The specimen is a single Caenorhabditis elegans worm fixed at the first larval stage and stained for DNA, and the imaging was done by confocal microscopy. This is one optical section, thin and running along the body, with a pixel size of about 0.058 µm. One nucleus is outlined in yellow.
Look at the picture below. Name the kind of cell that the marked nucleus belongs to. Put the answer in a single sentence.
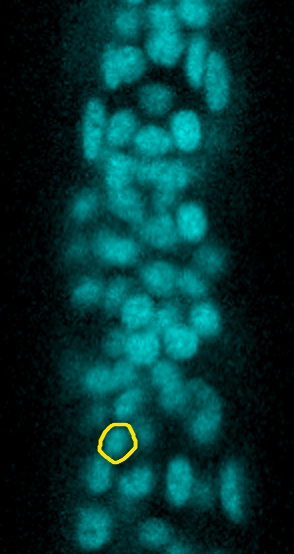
The cell with the marked nucleus is a neuron.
